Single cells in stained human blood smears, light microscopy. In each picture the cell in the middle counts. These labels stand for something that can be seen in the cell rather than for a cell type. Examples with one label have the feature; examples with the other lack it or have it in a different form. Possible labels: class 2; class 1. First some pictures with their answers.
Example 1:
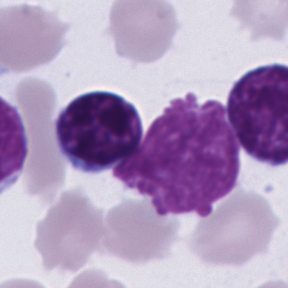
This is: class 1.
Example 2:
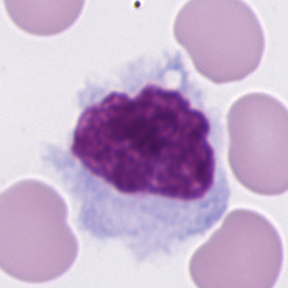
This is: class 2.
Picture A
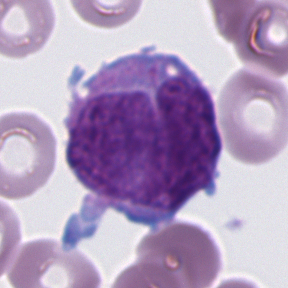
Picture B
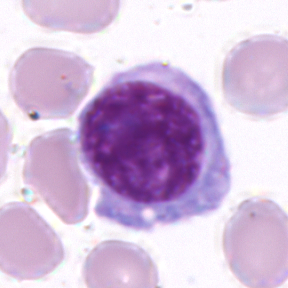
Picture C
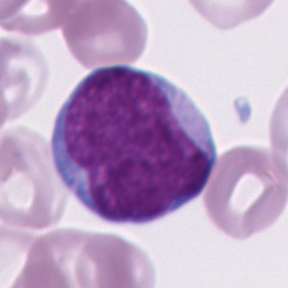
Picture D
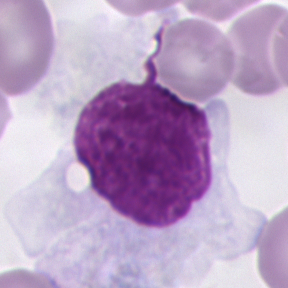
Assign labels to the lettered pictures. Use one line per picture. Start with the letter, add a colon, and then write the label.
A: class 2.
B: class 2.
C: class 1.
D: class 2.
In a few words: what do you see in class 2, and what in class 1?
Seen in class 2: vacuoles present; seen in class 1: no vacuoles.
